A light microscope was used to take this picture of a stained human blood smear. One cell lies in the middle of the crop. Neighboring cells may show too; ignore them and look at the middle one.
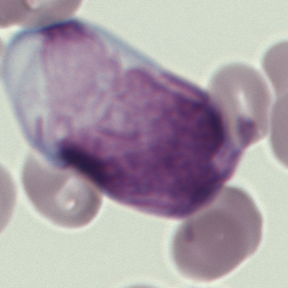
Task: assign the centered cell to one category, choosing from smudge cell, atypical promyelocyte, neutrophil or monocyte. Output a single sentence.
Centrally within this crop lies an atypical promyelocyte.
